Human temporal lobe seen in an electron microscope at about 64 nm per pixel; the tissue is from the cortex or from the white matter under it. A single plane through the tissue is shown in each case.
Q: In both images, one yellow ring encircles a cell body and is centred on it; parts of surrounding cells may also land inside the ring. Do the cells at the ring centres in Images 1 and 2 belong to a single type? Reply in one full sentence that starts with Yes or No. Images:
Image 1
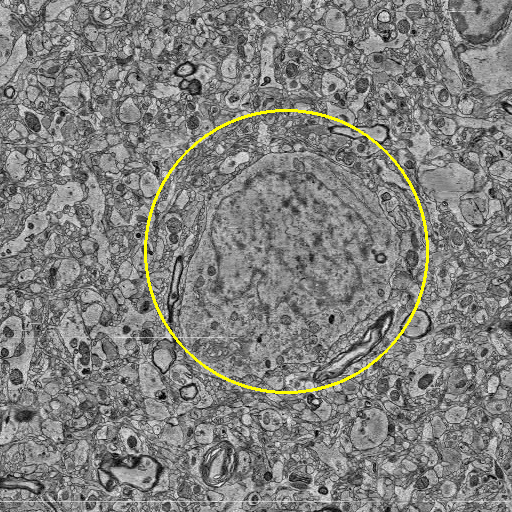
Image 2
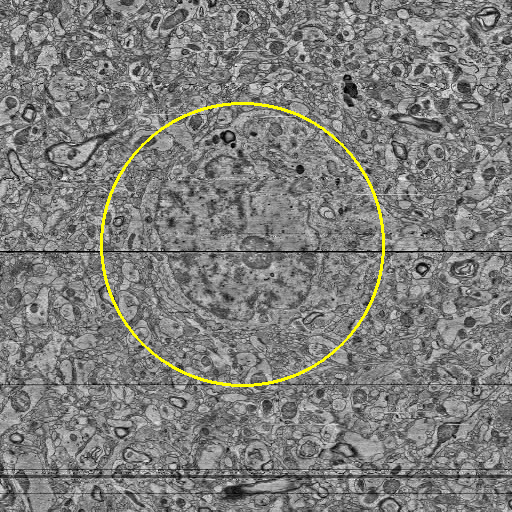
Yes, the cells at the ring centres in Images 1 and 2 are of a single type.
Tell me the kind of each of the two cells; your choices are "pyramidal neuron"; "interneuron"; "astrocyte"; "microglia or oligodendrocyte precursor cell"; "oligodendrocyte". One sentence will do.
In both pictures the ring is centred on an interneuron.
